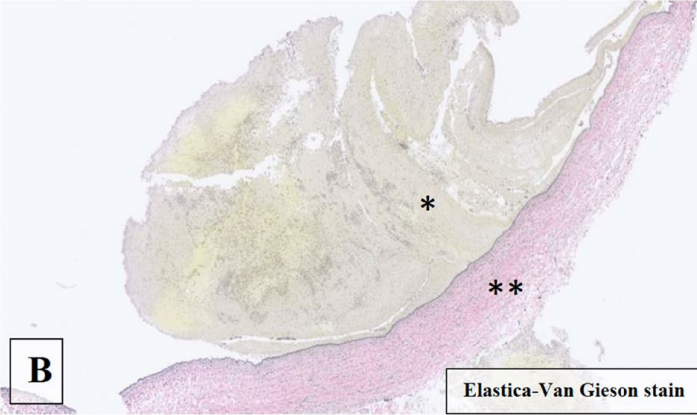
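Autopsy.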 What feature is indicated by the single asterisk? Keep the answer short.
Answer: Thrombus.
